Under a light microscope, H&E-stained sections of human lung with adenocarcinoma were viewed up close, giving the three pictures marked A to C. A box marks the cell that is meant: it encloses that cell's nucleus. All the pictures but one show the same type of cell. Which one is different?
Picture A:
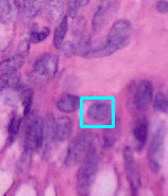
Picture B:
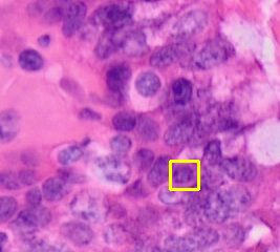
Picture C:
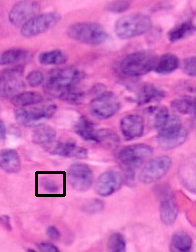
C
